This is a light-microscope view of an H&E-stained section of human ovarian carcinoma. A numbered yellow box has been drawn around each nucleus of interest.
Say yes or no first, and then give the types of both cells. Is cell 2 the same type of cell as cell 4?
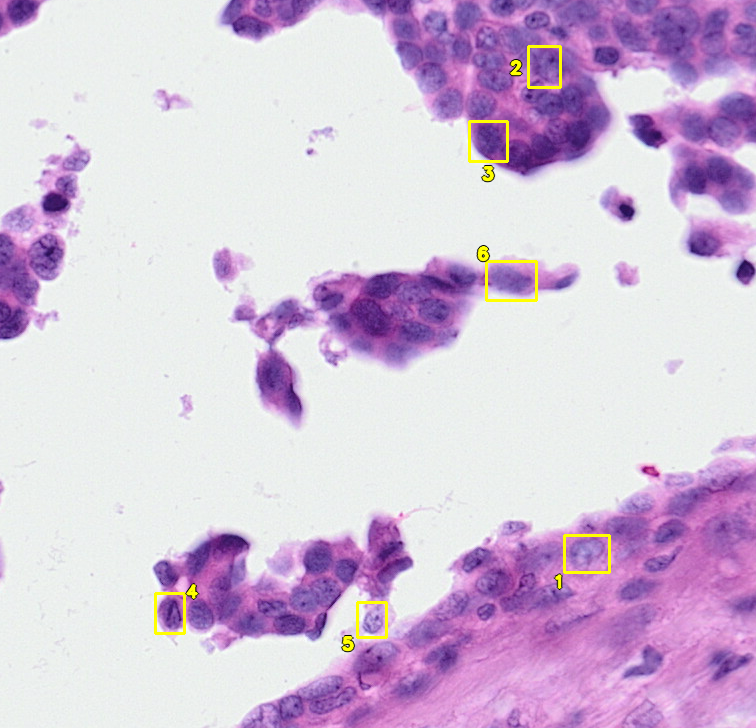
No, sorry to say, cell 2 is a carcinoma cell and cell 4 is a macrophage or monocyte.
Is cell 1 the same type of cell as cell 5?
No, while cell 1 is a carcinoma cell, cell 5 is a macrophage or monocyte.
